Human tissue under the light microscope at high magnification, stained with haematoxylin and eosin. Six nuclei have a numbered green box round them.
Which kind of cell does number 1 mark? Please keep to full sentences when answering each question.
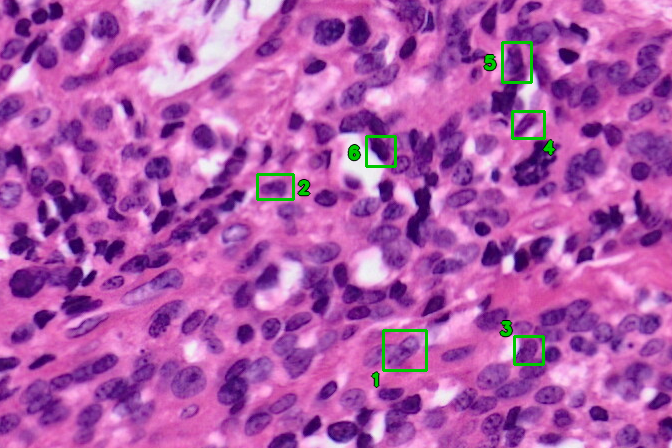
The one numbered 1 among the marked cells is an endothelial cell.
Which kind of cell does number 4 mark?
Cell 4 is classified as a carcinoma cell.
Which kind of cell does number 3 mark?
Looking at the numbered marks, cell 3 is a carcinoma cell.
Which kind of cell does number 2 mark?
The label 2 in this section denotes a macrophage or monocyte.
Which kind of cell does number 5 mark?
The nucleus labelled 5 belongs to a carcinoma cell.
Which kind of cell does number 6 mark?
The numbered cell 6 in this field is a carcinoma cell.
